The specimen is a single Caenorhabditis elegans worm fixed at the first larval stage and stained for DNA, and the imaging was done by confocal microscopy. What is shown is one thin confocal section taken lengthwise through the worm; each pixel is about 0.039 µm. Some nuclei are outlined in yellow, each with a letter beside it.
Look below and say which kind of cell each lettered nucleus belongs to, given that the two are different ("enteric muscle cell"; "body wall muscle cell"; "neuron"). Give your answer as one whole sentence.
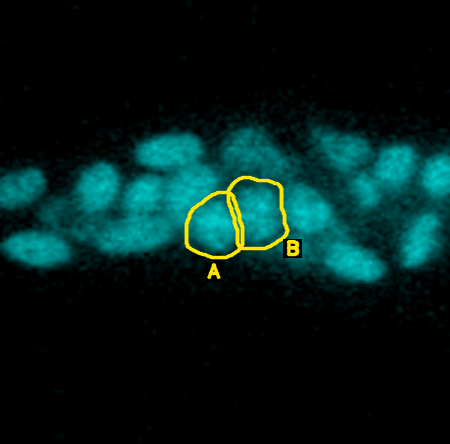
B belongs to a neuron, and A to an enteric muscle cell.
